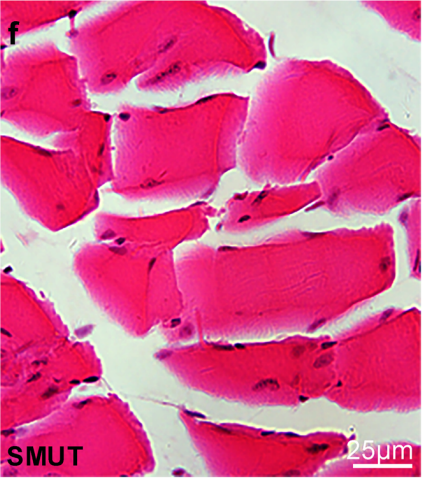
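This is skeletal muscle cut across, with myofibers showing myopathic changes. The pink fiber profiles vary widely in size and shape, several being small and angular beside larger ones. Broad pale gaps separate many fibers, and dark purple nuclei are scattered along their borders.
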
